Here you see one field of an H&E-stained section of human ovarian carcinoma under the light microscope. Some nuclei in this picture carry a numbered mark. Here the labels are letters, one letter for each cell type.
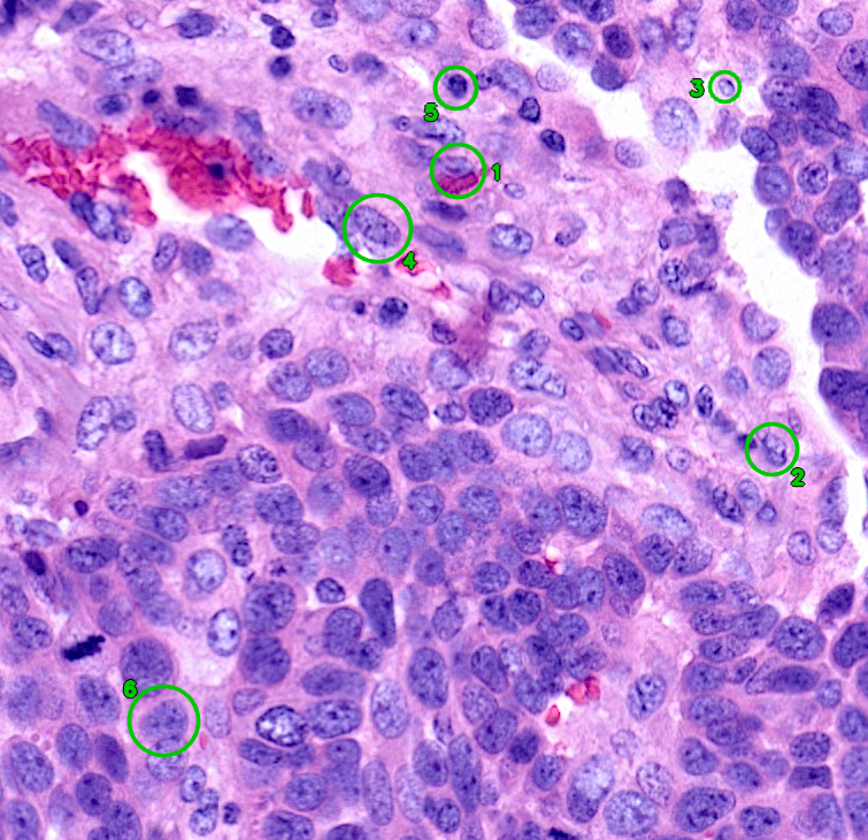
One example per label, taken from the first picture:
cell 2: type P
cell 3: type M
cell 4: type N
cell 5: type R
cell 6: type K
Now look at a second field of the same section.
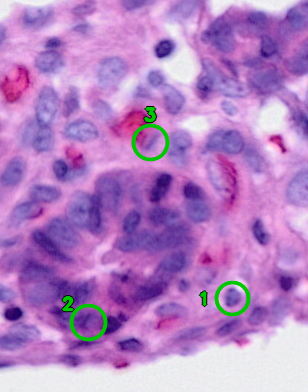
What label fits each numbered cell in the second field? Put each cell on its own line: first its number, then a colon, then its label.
1: type R
2: type K
3: type N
